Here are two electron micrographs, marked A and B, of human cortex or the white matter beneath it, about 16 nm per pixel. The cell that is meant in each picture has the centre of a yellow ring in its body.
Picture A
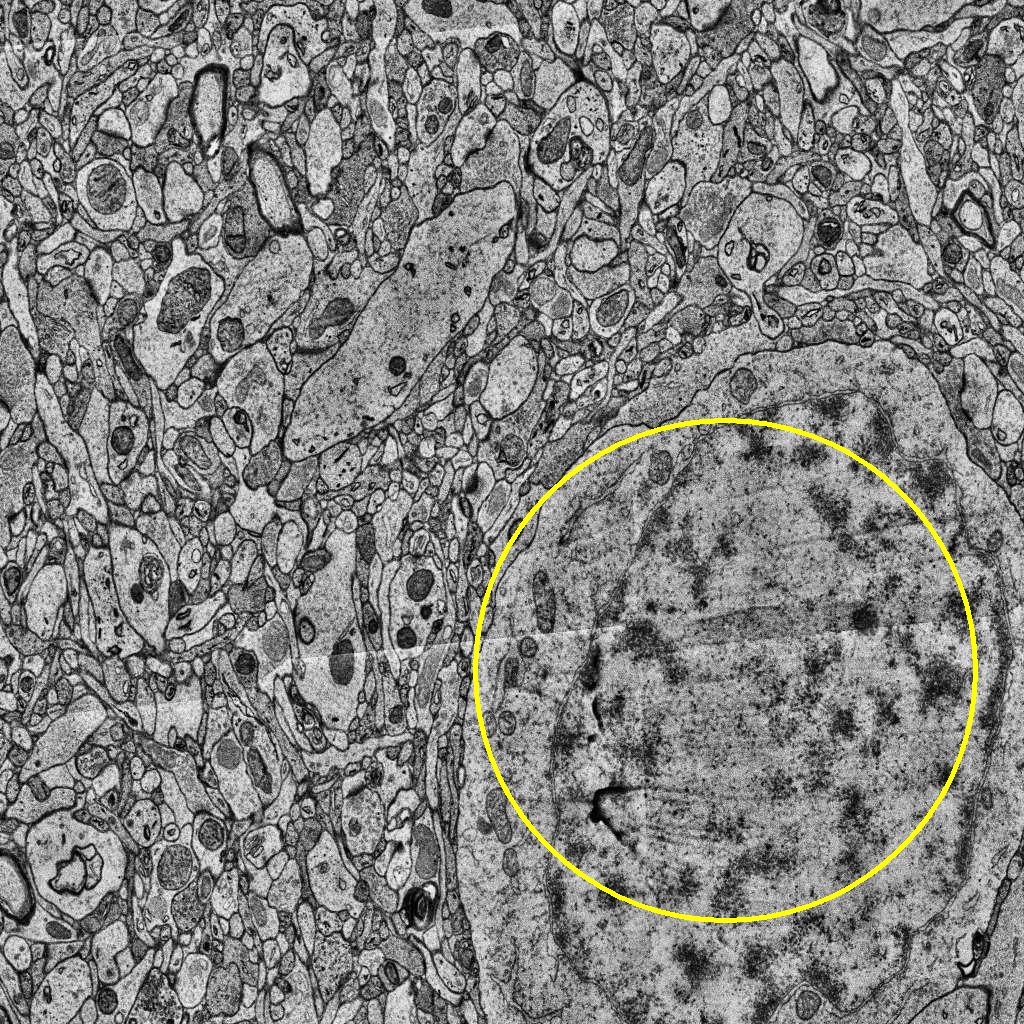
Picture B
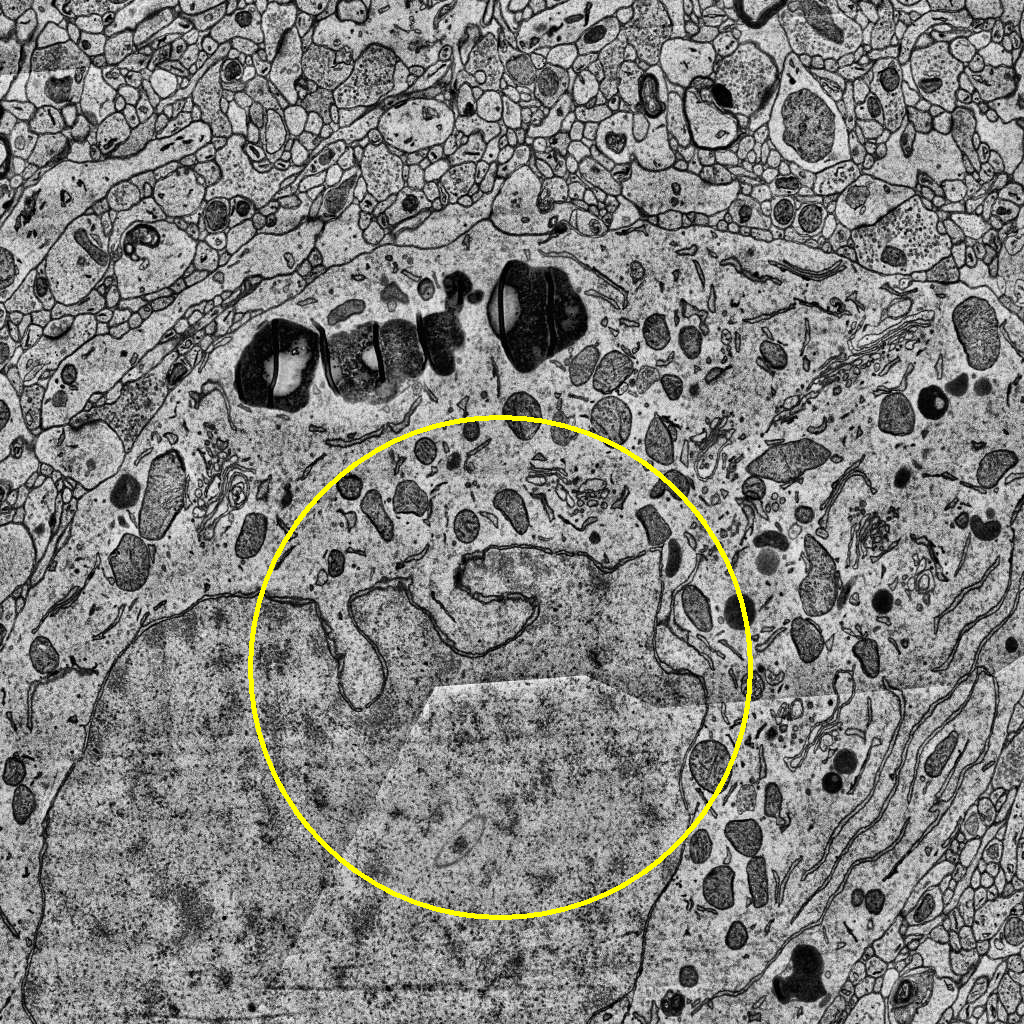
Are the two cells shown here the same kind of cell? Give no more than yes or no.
yes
